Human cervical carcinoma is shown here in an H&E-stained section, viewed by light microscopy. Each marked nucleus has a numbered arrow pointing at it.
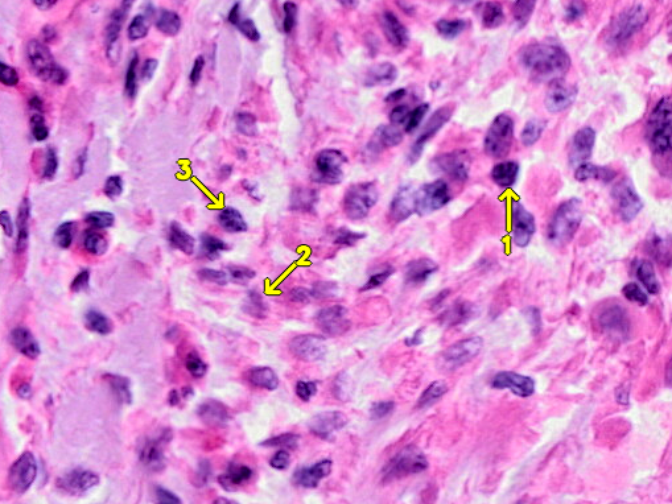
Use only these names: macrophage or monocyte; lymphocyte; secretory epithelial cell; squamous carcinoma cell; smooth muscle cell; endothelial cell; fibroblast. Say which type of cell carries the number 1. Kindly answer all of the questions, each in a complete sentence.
In this section, the cell numbered 1 is a lymphocyte.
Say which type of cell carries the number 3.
The cell that goes by number 3 is a lymphocyte.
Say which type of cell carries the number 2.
Marked with the number 2, this cell is a fibroblast.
